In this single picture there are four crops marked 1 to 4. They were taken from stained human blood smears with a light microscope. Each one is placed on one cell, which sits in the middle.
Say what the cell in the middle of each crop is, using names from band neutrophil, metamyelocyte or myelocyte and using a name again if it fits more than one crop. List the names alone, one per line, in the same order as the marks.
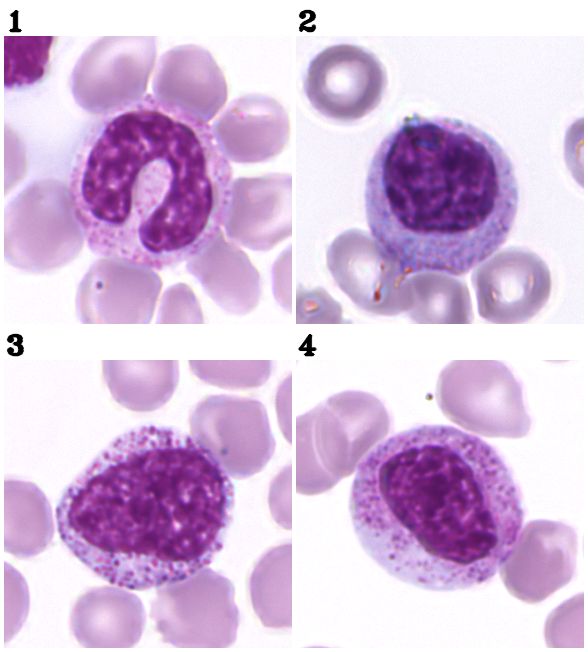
band neutrophil
myelocyte
metamyelocyte
myelocyte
